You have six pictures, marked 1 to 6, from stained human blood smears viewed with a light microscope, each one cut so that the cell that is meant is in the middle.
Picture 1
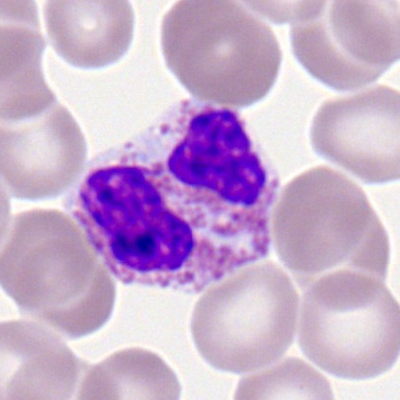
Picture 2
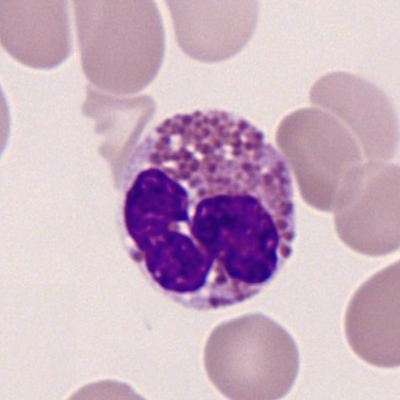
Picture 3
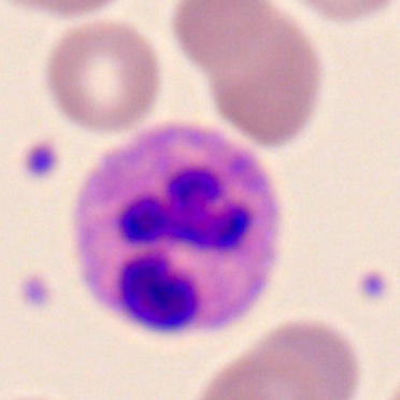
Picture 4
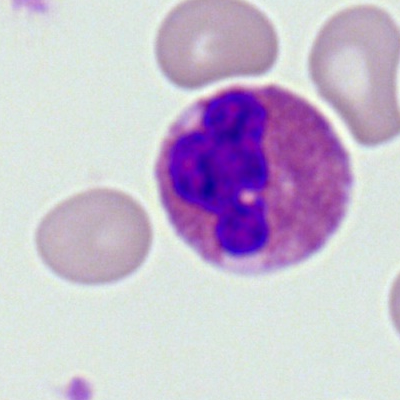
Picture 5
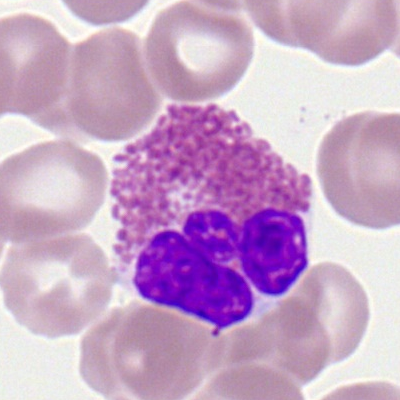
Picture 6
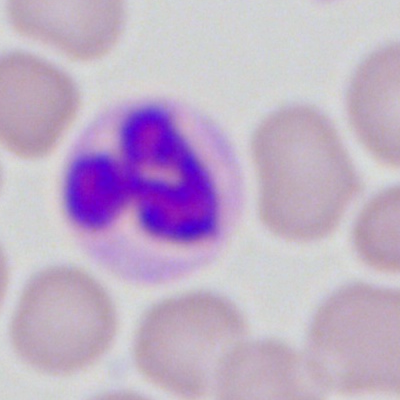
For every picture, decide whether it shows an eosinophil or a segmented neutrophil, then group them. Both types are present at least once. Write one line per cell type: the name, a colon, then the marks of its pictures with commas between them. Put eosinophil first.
eosinophil: 1, 2, 4, 5
segmented neutrophil: 3, 6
